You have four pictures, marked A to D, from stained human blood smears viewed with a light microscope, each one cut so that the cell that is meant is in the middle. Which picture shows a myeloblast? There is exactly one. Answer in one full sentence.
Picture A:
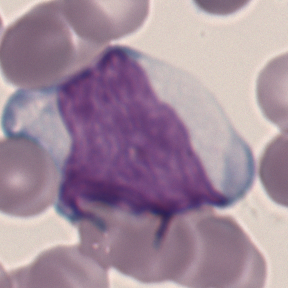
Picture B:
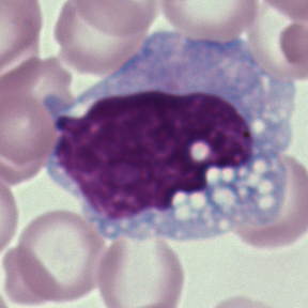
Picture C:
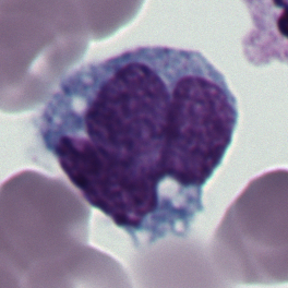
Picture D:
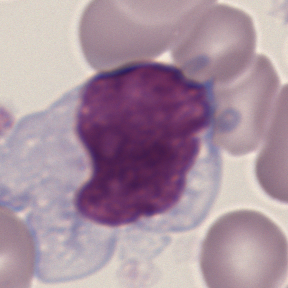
The cell in picture A is the myeloblast.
